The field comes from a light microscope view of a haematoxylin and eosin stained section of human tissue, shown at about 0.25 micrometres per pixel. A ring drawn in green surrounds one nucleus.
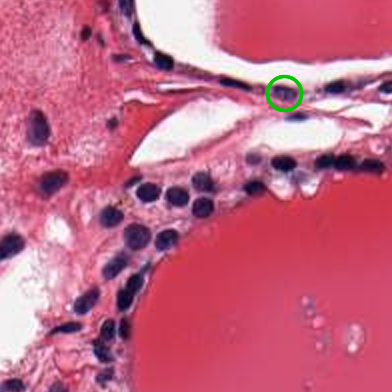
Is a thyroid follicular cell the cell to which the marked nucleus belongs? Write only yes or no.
yes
